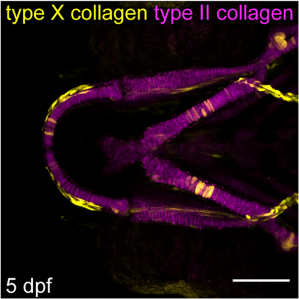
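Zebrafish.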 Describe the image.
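The jaw cartilages are seen from below as magenta rods made of stacked flattened chondrocytes in single rows. A thin yellow layer runs along the outer edges of the front U-shaped element and the lateral rods, and yellow patches also lie over parts of the inner rods.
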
